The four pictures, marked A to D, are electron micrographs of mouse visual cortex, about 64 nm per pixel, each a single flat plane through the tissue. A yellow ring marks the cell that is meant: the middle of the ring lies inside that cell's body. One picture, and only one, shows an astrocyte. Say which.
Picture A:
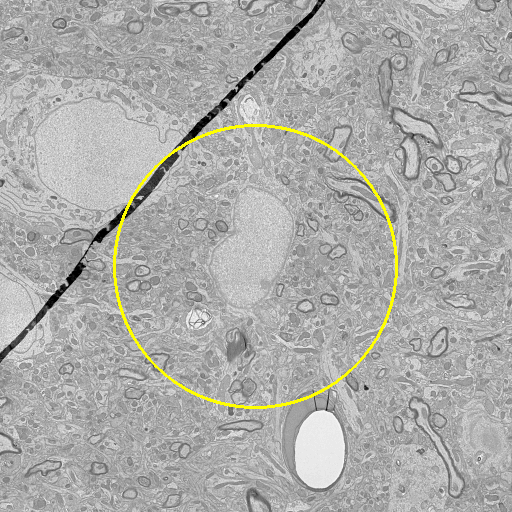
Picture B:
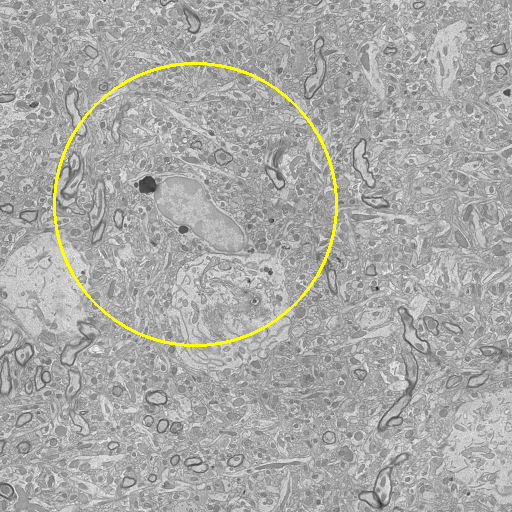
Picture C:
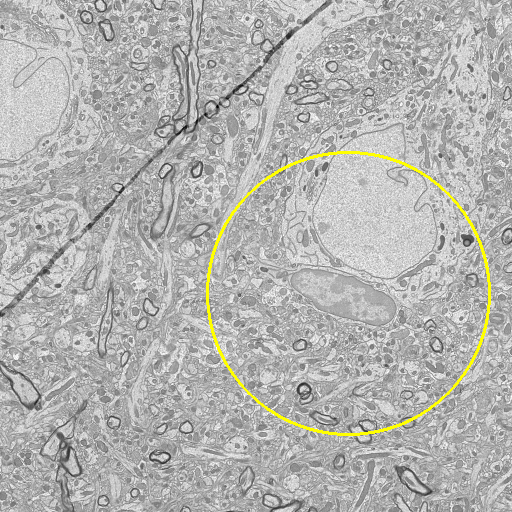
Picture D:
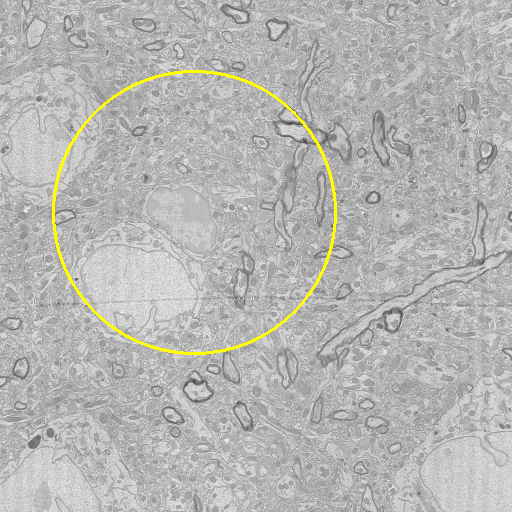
The cell in picture A is the astrocyte.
